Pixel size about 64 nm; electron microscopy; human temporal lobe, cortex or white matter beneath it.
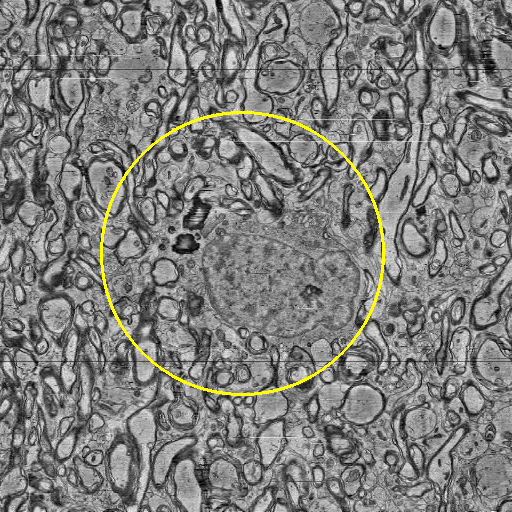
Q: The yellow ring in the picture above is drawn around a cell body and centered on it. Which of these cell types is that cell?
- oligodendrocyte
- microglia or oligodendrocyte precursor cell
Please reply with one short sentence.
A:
The cell body at the ring's center belongs to an oligodendrocyte.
